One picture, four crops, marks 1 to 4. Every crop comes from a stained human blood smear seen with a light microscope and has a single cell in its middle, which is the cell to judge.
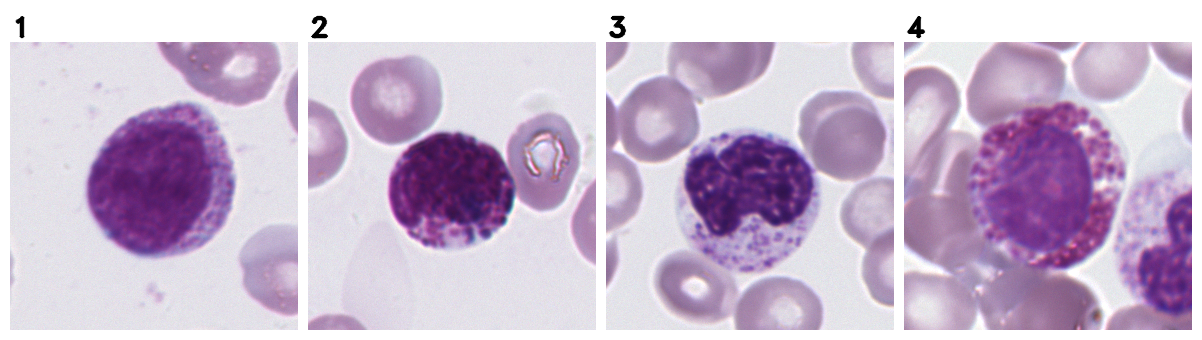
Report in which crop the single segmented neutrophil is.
3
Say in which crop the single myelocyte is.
1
